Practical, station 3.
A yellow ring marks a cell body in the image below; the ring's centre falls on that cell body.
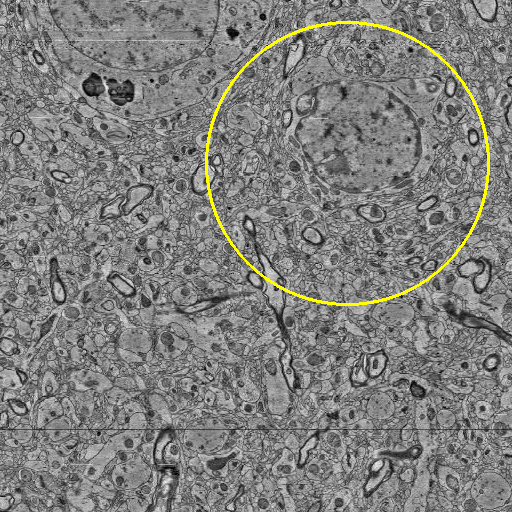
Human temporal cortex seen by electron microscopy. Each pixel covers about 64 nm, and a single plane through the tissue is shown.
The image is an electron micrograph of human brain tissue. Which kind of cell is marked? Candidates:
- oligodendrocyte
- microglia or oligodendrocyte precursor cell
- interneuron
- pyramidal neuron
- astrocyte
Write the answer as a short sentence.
The marked cell body is that of a microglial cell or oligodendrocyte precursor cell.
